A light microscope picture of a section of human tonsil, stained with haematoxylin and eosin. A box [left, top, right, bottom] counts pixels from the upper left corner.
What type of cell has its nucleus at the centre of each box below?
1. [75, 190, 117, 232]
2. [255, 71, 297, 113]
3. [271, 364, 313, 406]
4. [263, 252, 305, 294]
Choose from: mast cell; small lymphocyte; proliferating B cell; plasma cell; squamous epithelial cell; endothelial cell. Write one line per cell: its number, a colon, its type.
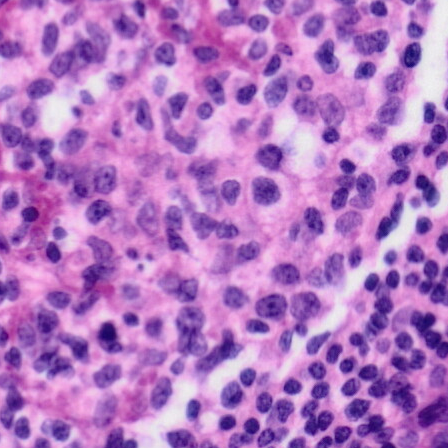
1: proliferating B cell
2: proliferating B cell
3: small lymphocyte
4: proliferating B cell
